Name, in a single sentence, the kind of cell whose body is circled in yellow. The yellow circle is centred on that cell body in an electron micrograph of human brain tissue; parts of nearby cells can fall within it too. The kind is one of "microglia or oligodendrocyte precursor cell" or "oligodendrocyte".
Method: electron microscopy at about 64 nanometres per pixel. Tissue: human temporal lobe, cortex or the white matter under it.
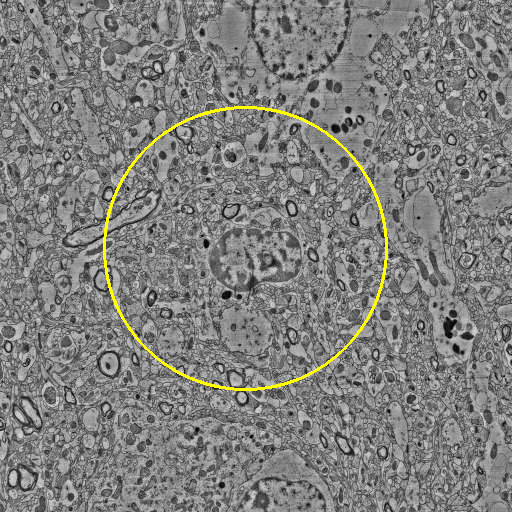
The circled cell body belongs to a microglial cell or oligodendrocyte precursor cell.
